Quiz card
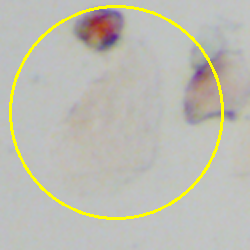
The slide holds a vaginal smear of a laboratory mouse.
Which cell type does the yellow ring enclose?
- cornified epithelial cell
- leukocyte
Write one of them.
cornified epithelial cell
